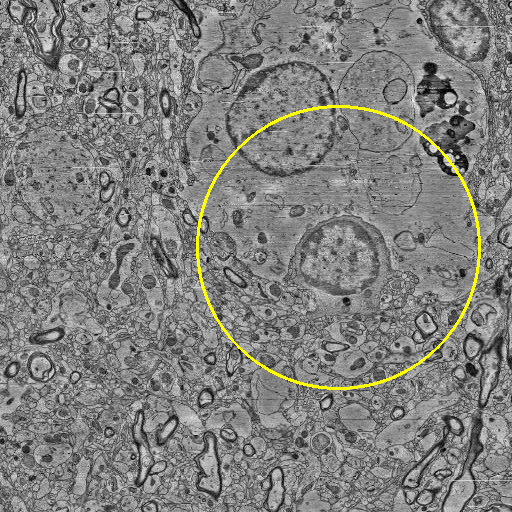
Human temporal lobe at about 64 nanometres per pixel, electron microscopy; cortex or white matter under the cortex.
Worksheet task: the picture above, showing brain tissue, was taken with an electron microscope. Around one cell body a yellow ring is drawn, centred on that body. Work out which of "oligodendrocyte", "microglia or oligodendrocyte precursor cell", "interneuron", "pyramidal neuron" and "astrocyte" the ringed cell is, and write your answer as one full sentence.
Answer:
It is an oligodendrocyte whose cell body lies at the centre of the yellow ring.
